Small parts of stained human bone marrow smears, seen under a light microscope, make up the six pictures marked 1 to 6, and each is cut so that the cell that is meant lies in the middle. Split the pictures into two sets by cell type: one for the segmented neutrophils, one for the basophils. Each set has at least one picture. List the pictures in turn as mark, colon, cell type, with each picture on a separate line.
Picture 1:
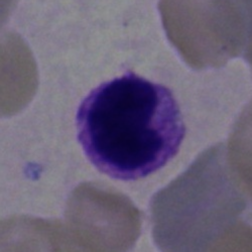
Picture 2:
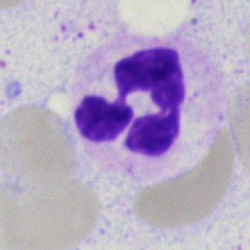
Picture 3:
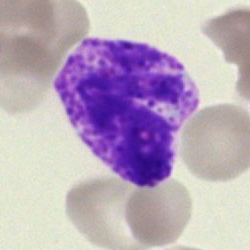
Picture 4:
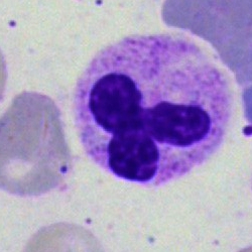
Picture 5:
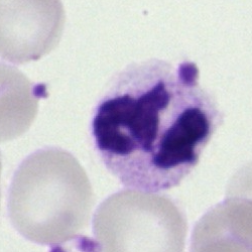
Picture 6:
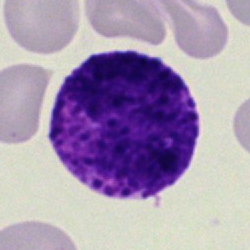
1: basophil
2: segmented neutrophil
3: basophil
4: segmented neutrophil
5: segmented neutrophil
6: basophil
